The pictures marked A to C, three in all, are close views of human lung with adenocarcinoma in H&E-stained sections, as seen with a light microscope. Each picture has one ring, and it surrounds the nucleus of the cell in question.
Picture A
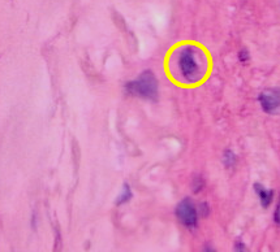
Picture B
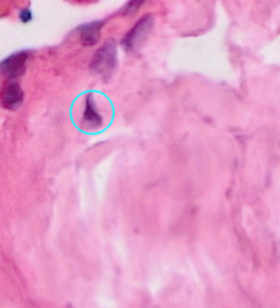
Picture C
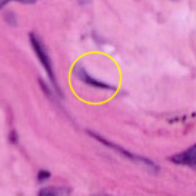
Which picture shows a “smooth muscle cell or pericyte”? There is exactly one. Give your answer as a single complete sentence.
Picture A shows the “smooth muscle cell or pericyte”.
